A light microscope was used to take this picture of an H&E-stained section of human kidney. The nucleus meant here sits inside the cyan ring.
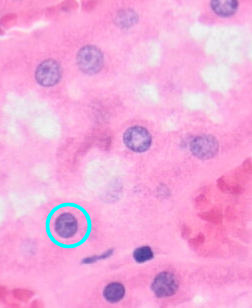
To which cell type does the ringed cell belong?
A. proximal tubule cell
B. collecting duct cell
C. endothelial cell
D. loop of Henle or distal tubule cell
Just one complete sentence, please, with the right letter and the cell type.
Option A properly identifies the ringed cell as a proximal tubule cell.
